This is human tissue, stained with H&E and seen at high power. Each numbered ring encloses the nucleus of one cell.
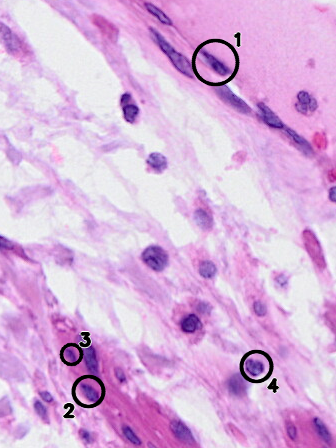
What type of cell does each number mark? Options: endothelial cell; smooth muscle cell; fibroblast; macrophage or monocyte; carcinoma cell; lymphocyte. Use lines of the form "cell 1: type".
cell 1: endothelial cell
cell 2: smooth muscle cell
cell 3: smooth muscle cell
cell 4: lymphocyte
